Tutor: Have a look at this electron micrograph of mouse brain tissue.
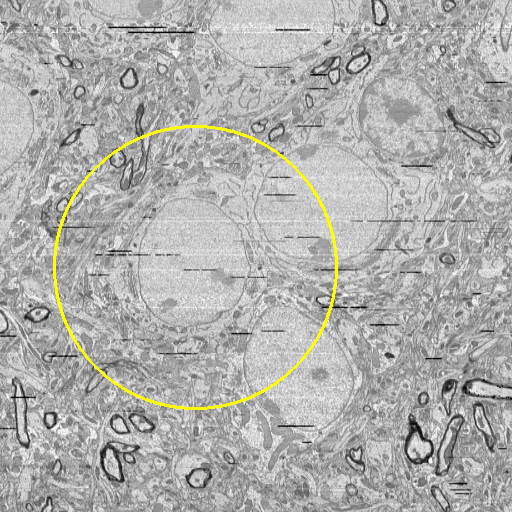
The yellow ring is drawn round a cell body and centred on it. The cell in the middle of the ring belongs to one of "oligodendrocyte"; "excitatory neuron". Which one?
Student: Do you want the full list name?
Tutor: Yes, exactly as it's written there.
excitatory neuron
